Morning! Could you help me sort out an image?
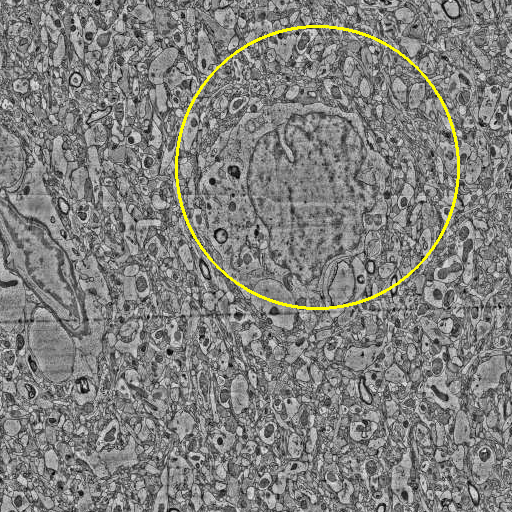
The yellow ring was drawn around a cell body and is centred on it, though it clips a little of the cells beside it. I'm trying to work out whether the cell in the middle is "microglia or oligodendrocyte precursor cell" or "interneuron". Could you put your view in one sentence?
The ringed cell body is that of an interneuron.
